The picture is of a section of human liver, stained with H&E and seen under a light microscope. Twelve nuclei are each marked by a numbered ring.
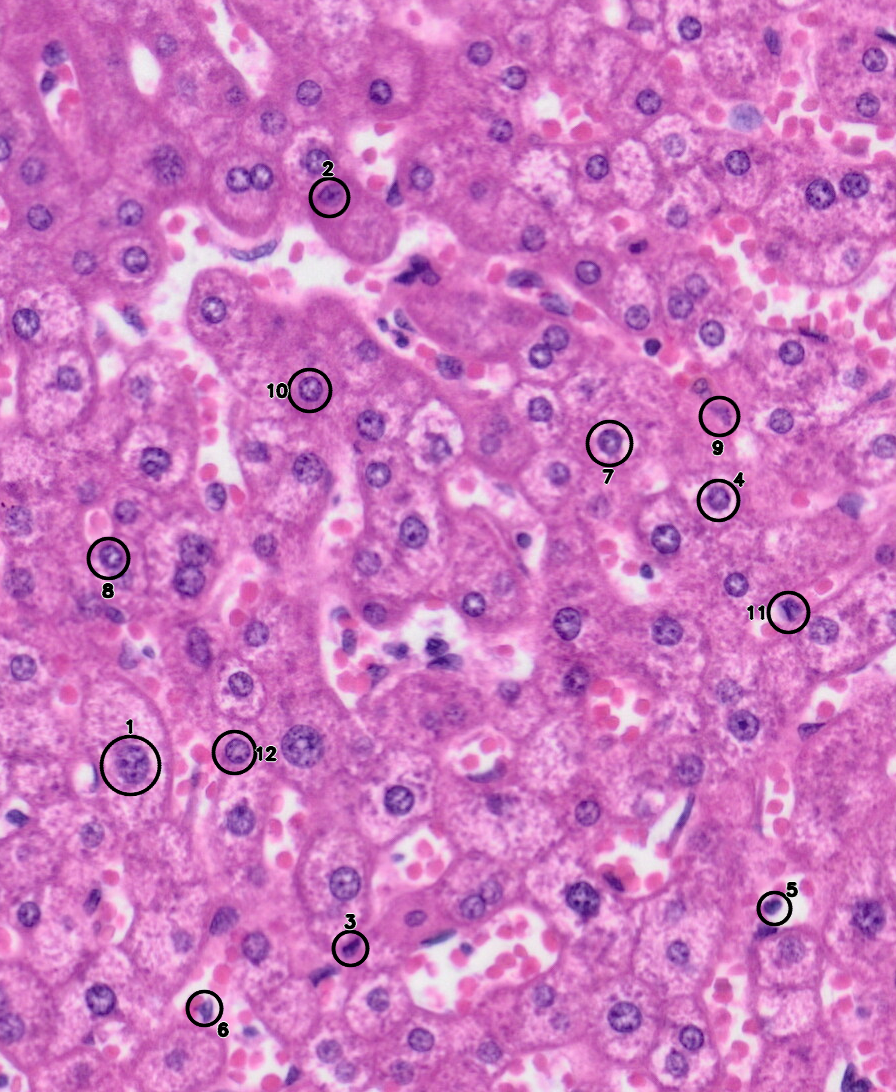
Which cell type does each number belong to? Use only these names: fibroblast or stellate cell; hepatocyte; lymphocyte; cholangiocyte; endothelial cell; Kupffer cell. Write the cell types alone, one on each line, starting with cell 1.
hepatocyte
hepatocyte
fibroblast or stellate cell
hepatocyte
lymphocyte
lymphocyte
hepatocyte
hepatocyte
endothelial cell
hepatocyte
endothelial cell
hepatocyte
